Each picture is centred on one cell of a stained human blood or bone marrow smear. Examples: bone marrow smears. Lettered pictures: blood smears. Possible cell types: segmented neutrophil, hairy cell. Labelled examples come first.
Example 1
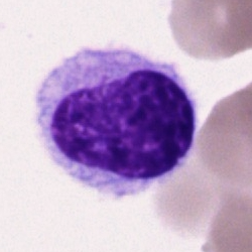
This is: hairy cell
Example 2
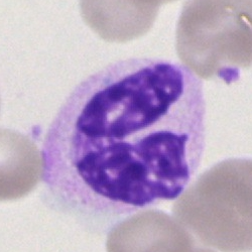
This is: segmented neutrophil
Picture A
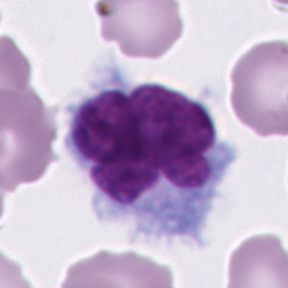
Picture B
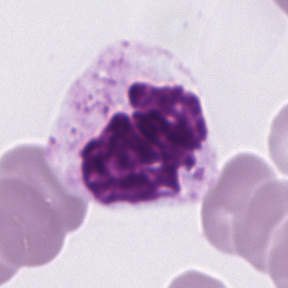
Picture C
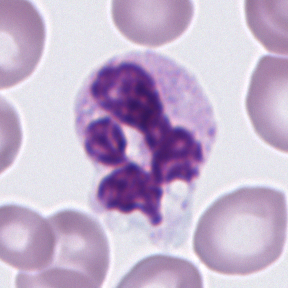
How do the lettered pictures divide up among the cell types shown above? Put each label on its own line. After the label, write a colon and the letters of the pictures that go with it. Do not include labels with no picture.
segmented neutrophil: B, C
hairy cell: A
